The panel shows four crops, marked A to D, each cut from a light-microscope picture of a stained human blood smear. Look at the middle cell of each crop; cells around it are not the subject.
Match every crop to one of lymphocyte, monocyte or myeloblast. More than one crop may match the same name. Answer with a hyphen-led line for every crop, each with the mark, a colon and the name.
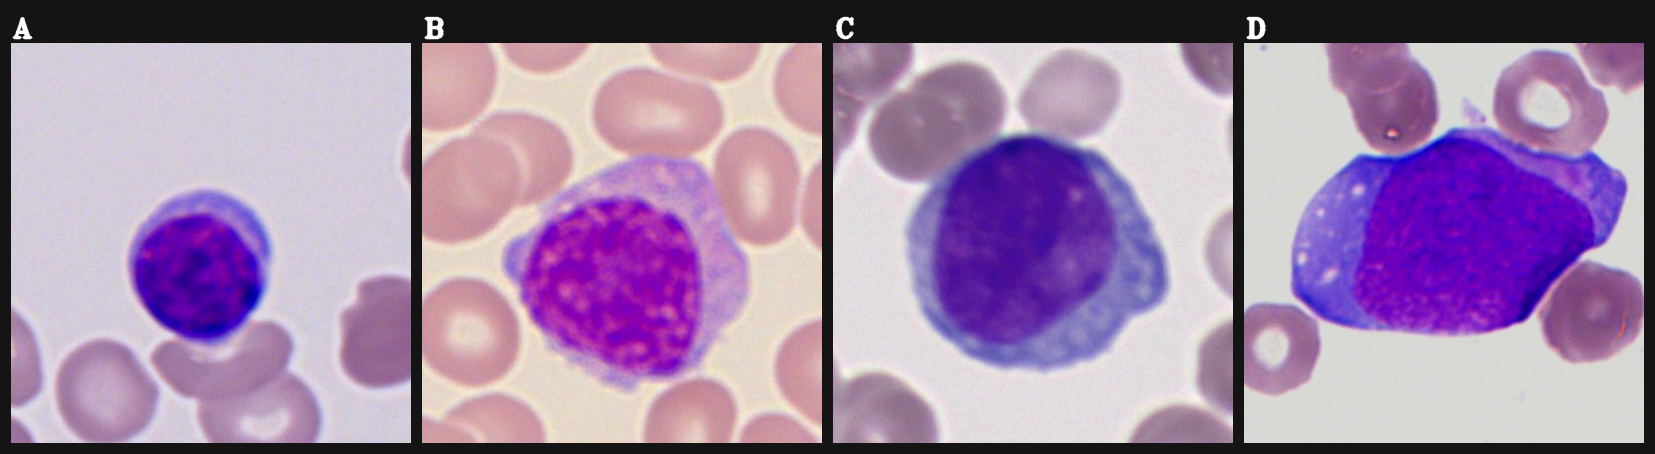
- A: lymphocyte
- B: monocyte
- C: myeloblast
- D: myeloblast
